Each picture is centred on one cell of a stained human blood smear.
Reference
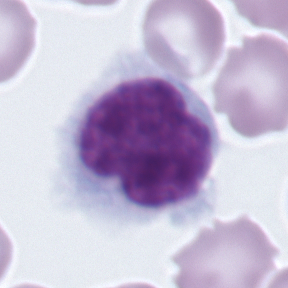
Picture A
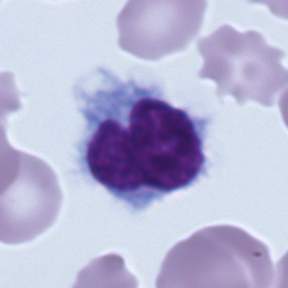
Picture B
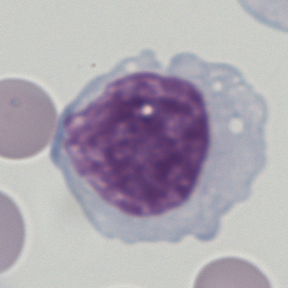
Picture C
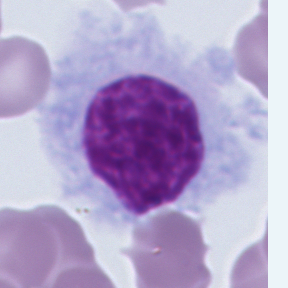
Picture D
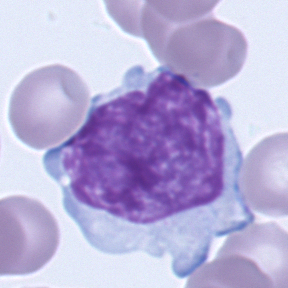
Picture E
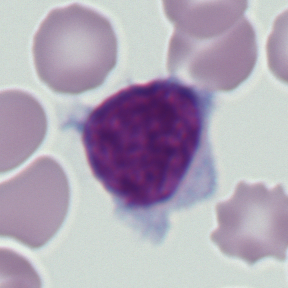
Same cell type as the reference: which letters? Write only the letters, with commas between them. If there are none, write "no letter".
A, C, E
